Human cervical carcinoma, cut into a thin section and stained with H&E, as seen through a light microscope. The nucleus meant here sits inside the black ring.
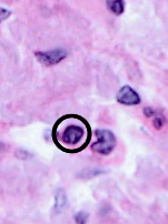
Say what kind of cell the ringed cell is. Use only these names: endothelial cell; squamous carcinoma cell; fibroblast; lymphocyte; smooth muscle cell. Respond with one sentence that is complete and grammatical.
On this particular slide, the ringed cell is a lymphocyte.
